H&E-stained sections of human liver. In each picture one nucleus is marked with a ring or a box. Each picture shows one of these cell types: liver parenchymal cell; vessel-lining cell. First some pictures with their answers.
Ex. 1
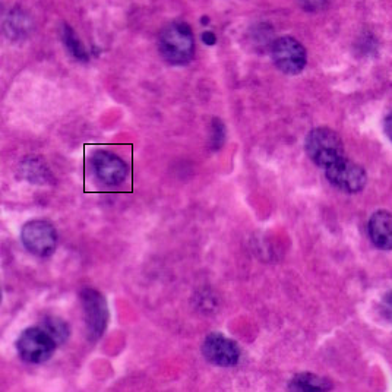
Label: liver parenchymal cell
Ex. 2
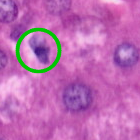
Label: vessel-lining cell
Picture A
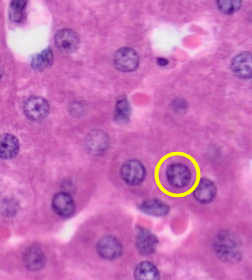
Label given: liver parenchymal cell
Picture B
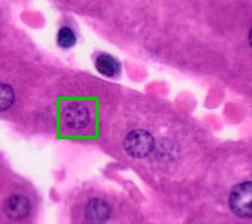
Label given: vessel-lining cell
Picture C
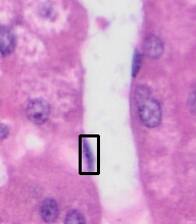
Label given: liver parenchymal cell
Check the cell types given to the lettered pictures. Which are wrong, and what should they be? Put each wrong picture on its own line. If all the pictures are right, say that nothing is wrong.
B is labelled vessel-lining cell; correct label: liver parenchymal cell
C is labelled liver parenchymal cell; correct label: vessel-lining cell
